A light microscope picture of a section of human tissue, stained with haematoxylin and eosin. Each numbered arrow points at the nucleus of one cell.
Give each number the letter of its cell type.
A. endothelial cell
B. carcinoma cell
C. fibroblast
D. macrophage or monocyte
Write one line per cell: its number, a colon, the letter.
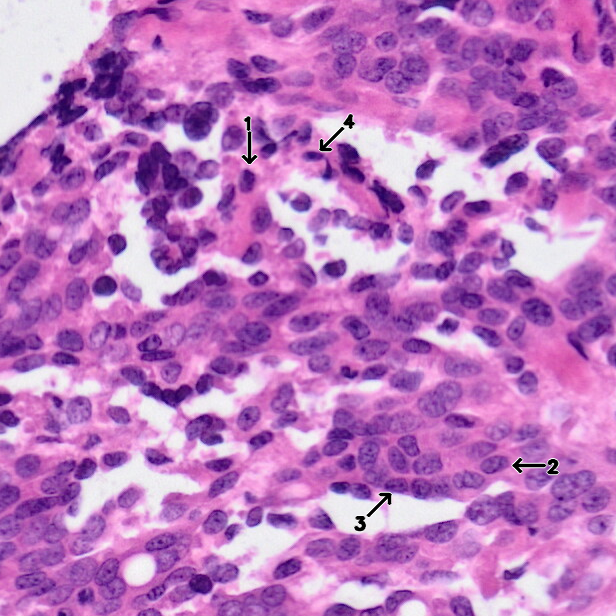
1: B
2: B
3: B
4: D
